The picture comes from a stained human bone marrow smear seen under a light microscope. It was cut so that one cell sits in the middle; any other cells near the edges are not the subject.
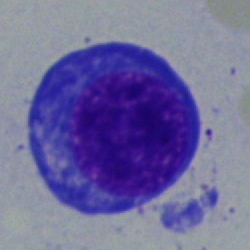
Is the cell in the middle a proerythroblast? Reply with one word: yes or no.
yes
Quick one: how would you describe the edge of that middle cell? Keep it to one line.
Around its whole circumference the outline stays smooth, free of projections.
